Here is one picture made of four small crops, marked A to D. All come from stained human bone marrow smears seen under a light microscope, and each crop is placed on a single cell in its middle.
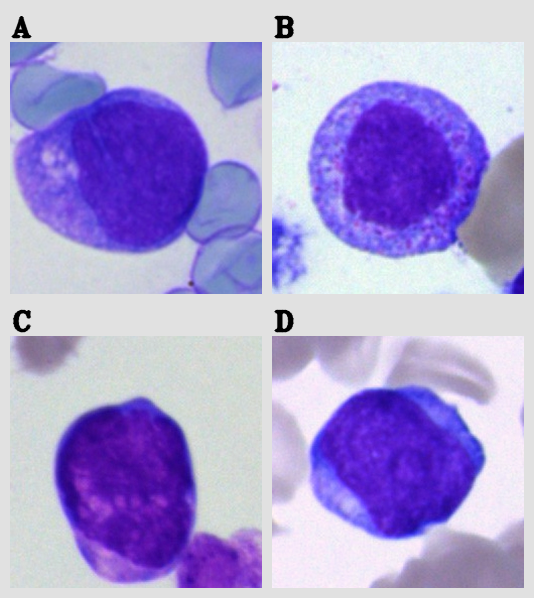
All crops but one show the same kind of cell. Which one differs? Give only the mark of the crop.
B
